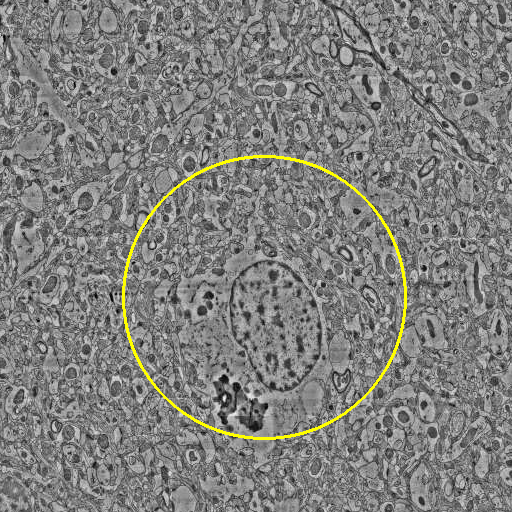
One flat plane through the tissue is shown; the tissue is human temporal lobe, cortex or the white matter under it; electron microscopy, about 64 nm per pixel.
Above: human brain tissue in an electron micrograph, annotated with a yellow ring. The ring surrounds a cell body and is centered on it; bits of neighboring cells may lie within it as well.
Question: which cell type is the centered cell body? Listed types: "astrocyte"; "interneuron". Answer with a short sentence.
The centered cell body is an astrocyte.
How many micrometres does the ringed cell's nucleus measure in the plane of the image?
About 8 by 6 micrometers, in this plane.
